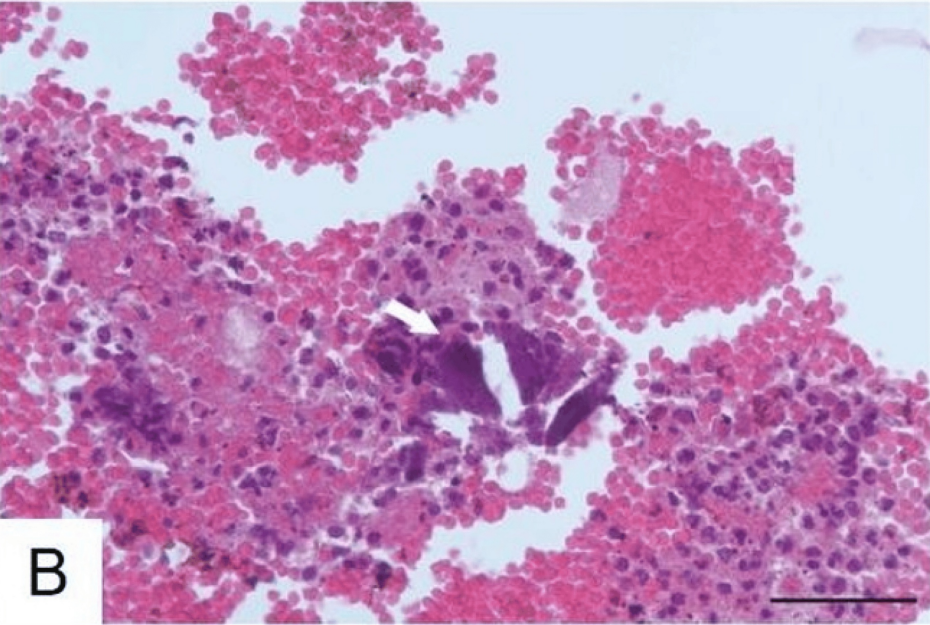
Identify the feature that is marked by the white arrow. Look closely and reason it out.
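The arrow points to a small angular, deep purple, glassy fragment. The fragment has sharp edges and cracks, unlike the round cells around it. So: calcified fragment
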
